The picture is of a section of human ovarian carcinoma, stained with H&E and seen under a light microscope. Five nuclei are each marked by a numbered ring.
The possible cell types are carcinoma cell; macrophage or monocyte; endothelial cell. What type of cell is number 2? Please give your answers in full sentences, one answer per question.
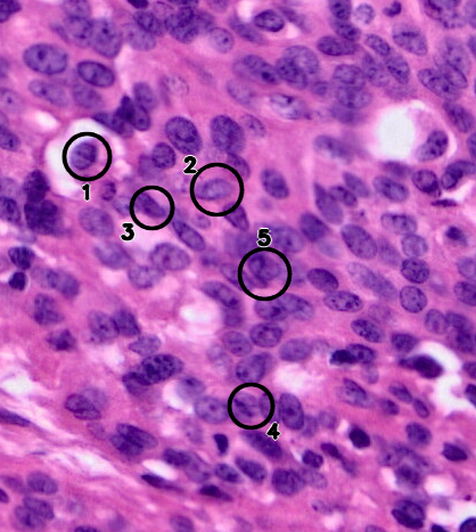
The cell carrying label 2 is identified as an endothelial cell.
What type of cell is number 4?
Marked with the number 4, this cell is a carcinoma cell.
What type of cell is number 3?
Cell 3 should be recorded as a carcinoma cell.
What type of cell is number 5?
It is as a carcinoma cell that the cell numbered 5 is identified.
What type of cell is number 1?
The cell carrying label 1 is identified as a macrophage or monocyte.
